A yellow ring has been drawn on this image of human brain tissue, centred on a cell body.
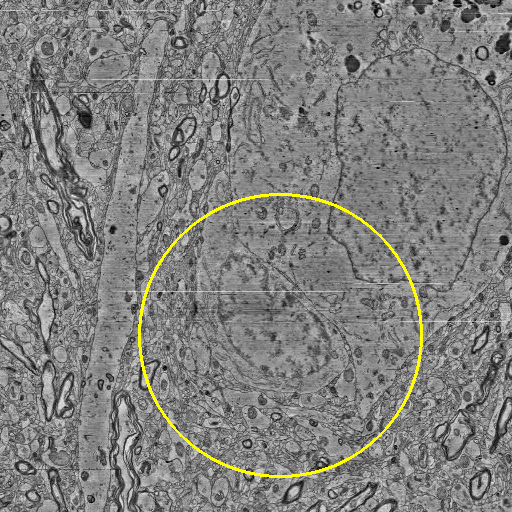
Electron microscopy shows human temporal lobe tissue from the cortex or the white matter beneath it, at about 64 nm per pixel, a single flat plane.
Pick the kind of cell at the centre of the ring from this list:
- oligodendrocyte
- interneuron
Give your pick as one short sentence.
The centre of the ring holds an interneuron.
